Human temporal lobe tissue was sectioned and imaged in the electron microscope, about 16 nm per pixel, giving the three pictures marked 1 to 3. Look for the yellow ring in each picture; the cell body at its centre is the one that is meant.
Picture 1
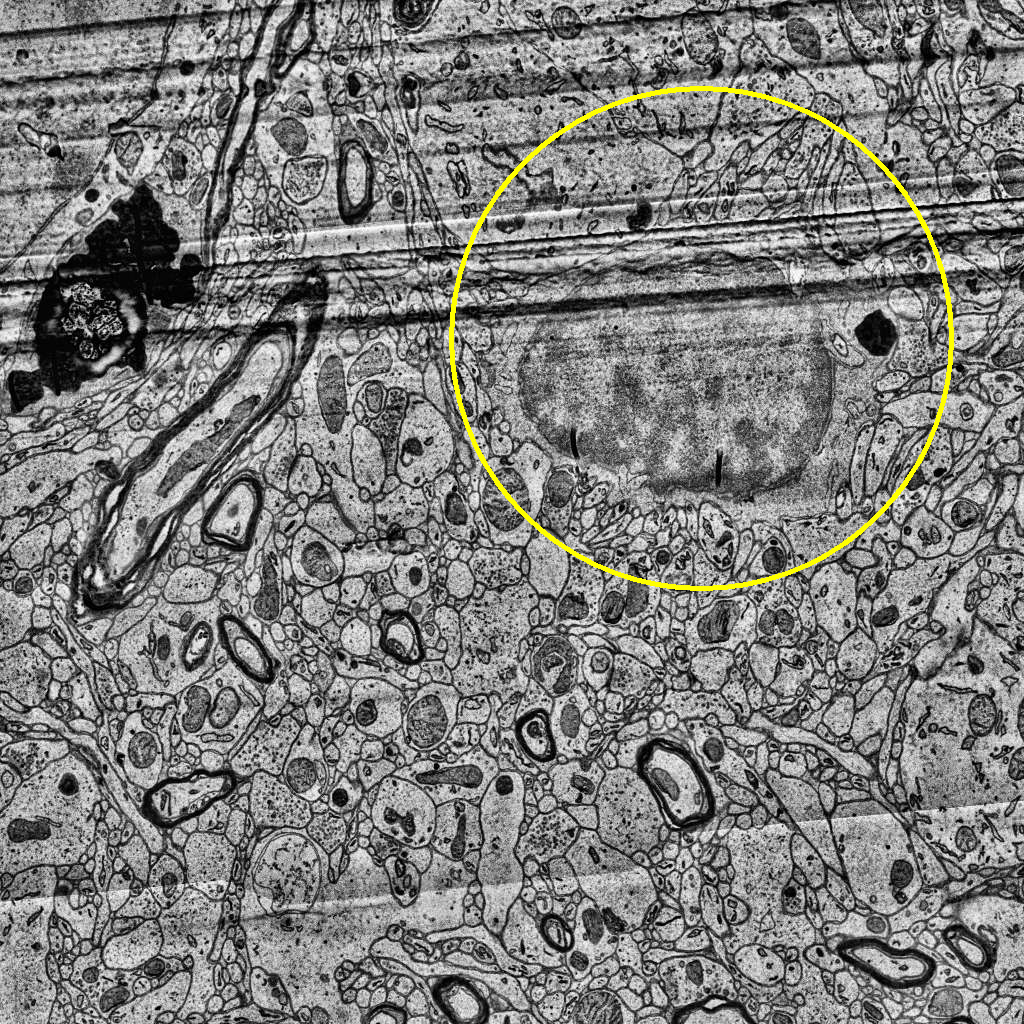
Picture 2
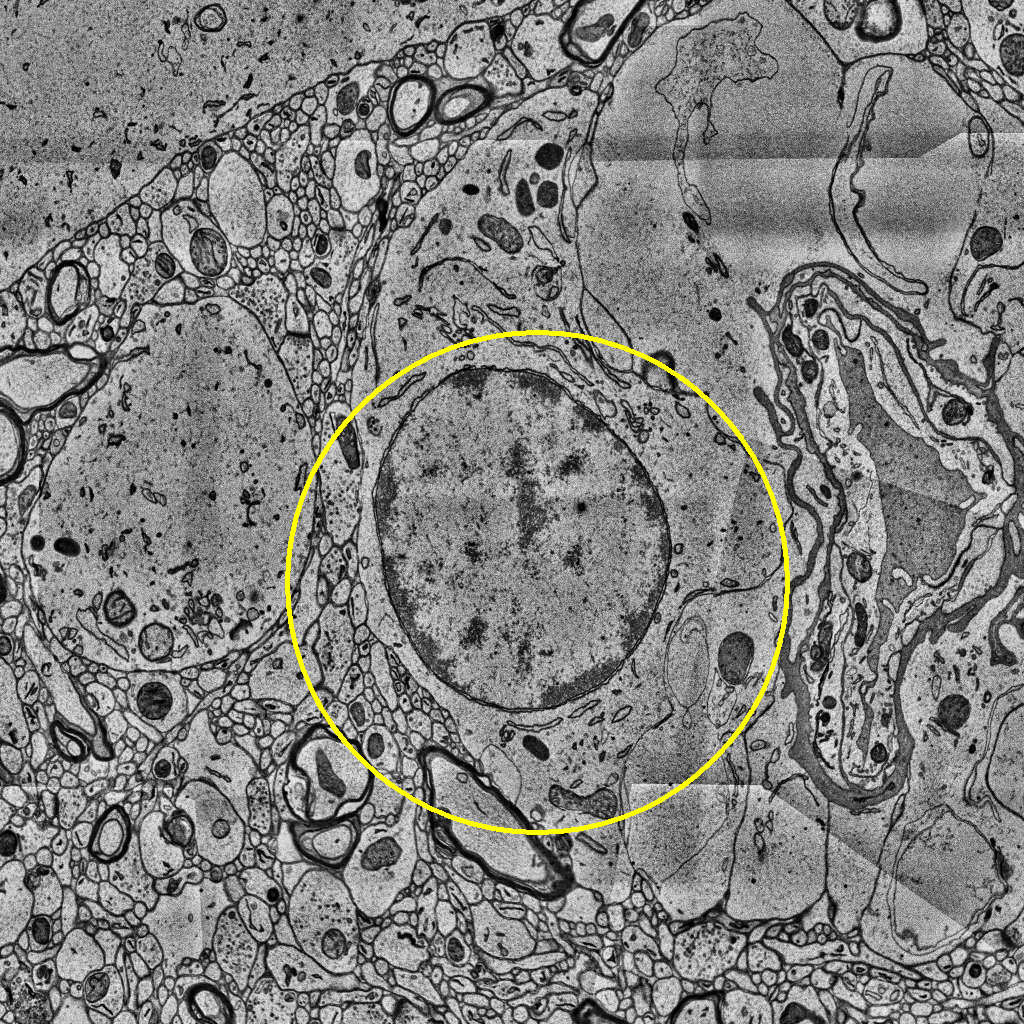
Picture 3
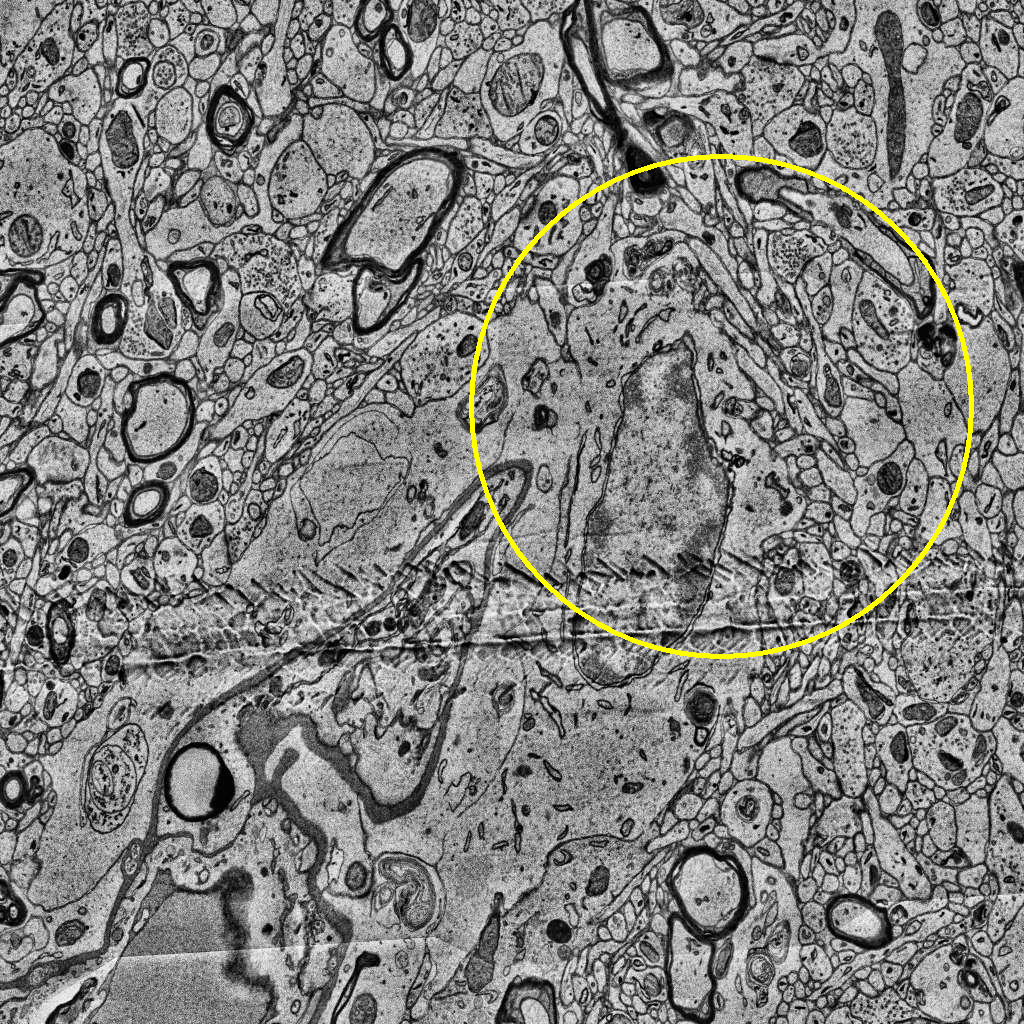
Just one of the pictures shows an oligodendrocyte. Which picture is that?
Picture 1 is the one that shows the oligodendrocyte.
